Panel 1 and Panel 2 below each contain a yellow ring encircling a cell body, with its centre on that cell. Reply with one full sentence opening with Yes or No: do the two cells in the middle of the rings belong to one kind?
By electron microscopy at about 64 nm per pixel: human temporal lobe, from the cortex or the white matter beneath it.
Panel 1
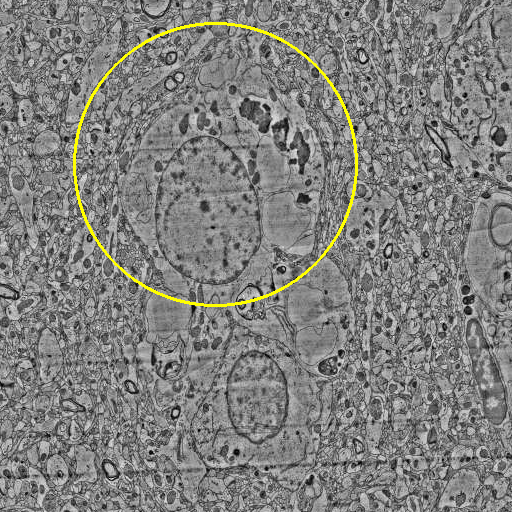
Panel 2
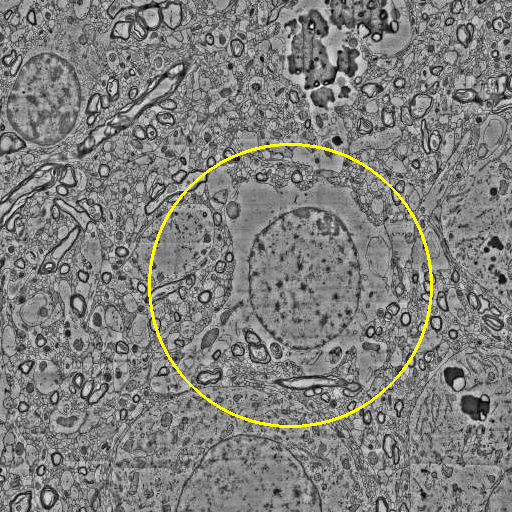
Yes, the cells at the middle of the Panel 1 ring and the Panel 2 ring are of one kind.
